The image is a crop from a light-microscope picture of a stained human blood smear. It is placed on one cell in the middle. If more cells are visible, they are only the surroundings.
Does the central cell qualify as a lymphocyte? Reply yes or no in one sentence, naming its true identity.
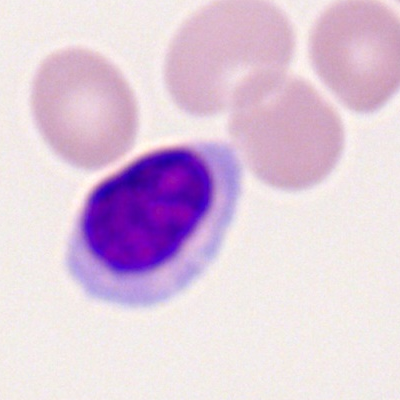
Yes, a lymphocyte is present in the middle of the crop.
